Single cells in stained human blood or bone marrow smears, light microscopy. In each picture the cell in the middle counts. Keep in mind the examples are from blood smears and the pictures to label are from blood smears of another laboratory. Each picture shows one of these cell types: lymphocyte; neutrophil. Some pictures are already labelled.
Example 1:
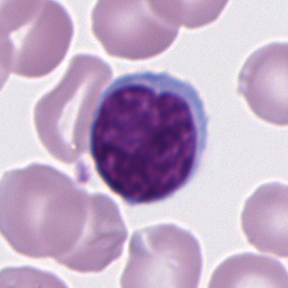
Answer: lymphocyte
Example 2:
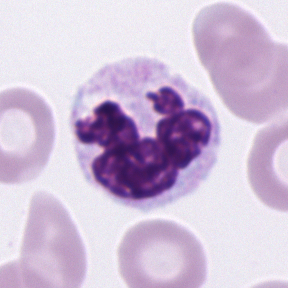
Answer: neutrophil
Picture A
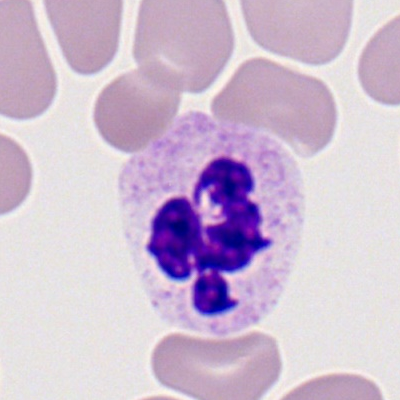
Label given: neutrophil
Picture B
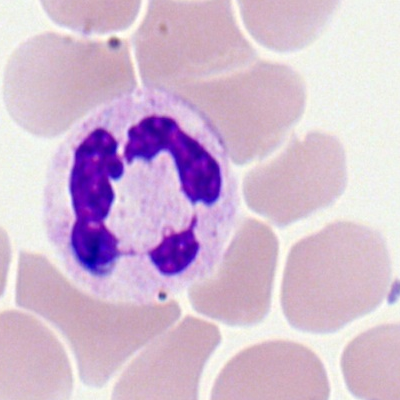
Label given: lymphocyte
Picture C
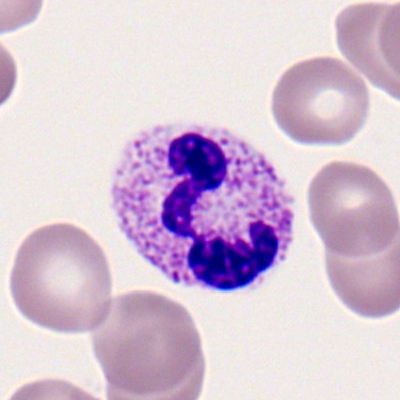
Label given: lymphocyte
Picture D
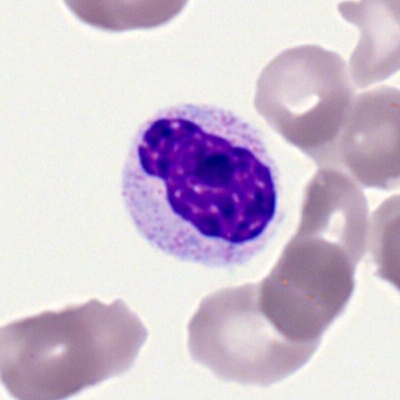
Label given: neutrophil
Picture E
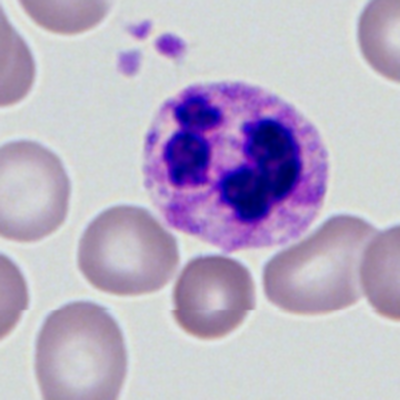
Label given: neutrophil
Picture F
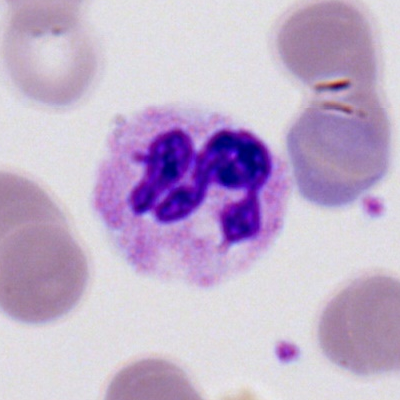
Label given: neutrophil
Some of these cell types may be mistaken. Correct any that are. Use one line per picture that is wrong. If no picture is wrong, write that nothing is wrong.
Wrong: B (lymphocyte); correct: neutrophil
Wrong: C (lymphocyte); correct: neutrophil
